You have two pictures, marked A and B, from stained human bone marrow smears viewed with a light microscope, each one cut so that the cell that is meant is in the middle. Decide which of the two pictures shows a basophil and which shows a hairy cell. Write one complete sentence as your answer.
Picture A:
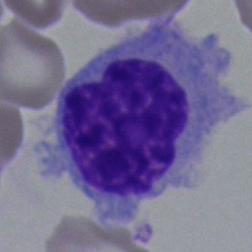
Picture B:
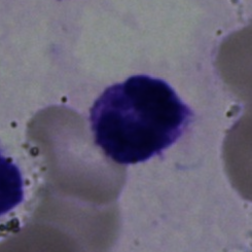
It is picture A that shows a hairy cell, and picture B that shows a basophil.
